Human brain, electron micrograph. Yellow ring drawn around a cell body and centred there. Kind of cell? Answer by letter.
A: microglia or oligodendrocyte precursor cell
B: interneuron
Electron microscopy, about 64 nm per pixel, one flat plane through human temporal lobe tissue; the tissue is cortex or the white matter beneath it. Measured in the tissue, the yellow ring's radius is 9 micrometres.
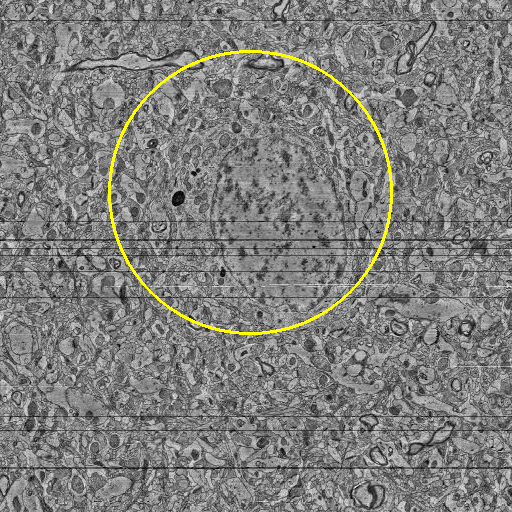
B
